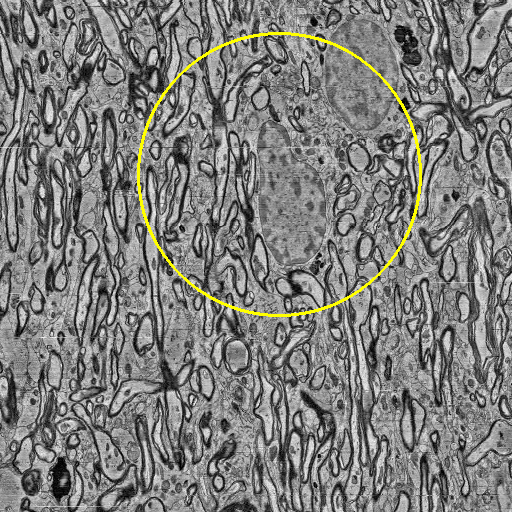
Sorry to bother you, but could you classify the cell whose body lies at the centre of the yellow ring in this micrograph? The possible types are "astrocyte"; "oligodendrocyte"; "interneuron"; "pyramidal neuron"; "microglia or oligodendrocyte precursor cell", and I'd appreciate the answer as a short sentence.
The ringed cell body is that of a microglial cell or oligodendrocyte precursor cell.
